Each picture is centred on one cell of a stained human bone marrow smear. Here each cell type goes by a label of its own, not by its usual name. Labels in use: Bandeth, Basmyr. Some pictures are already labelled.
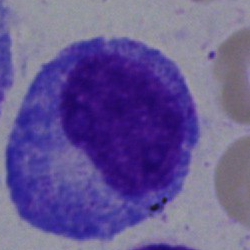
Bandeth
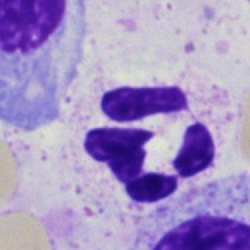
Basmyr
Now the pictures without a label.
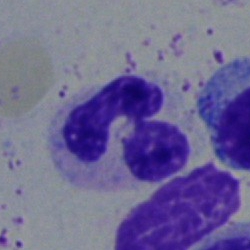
Basmyr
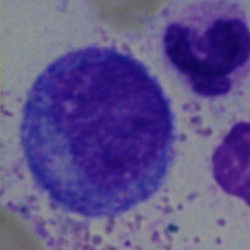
Bandeth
